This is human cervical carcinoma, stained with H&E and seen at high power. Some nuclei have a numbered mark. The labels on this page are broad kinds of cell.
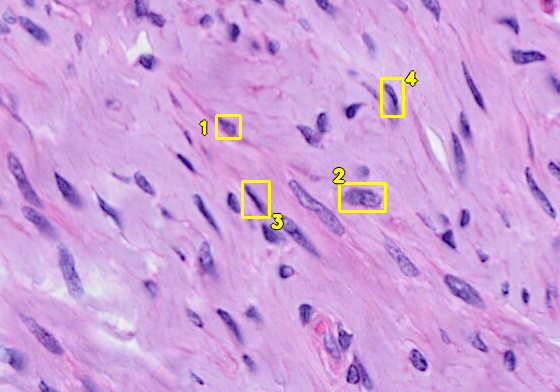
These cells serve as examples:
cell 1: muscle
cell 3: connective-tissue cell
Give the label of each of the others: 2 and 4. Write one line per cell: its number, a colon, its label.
2: muscle
4: connective-tissue cell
